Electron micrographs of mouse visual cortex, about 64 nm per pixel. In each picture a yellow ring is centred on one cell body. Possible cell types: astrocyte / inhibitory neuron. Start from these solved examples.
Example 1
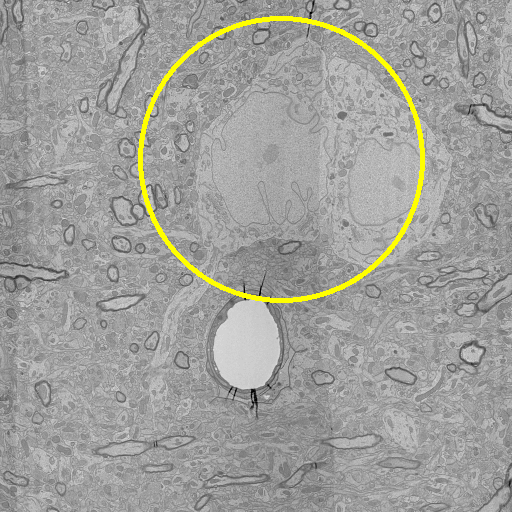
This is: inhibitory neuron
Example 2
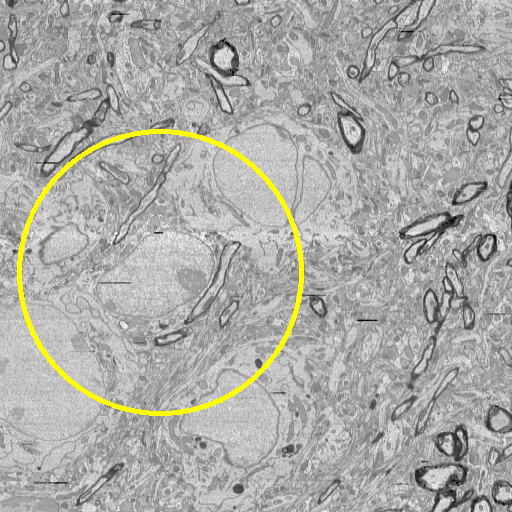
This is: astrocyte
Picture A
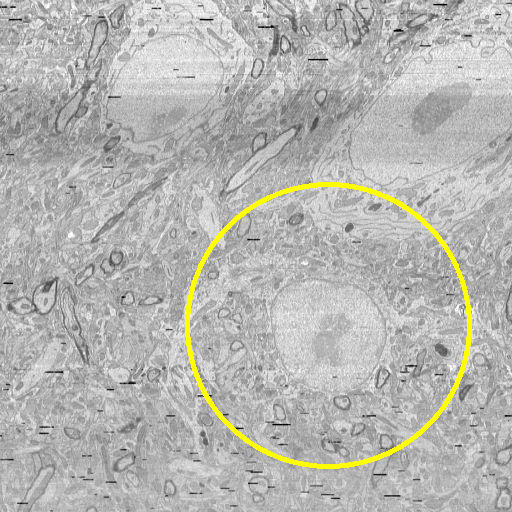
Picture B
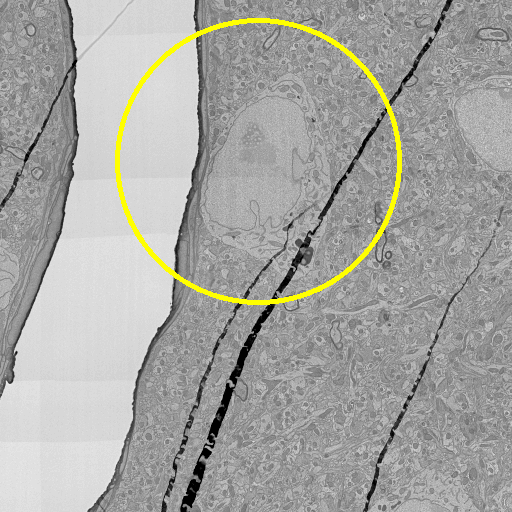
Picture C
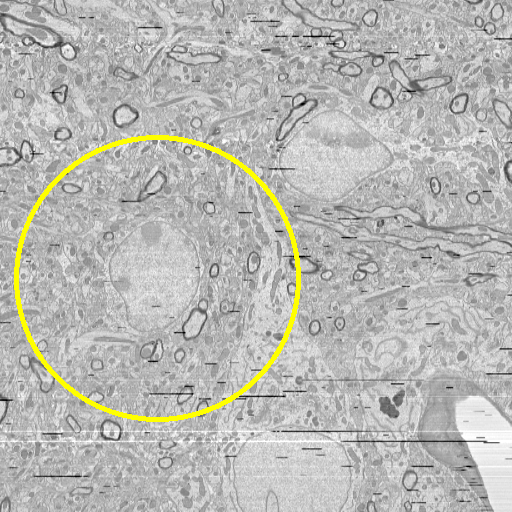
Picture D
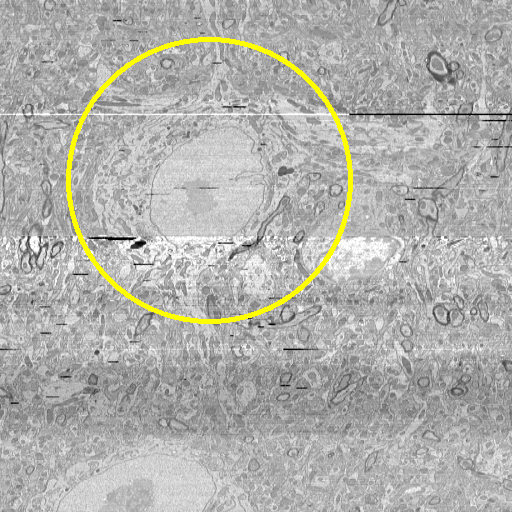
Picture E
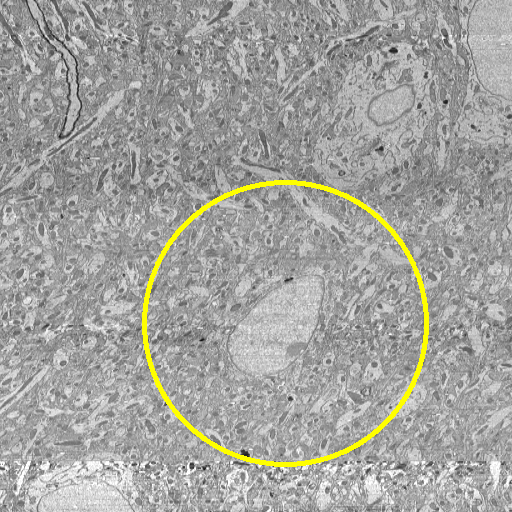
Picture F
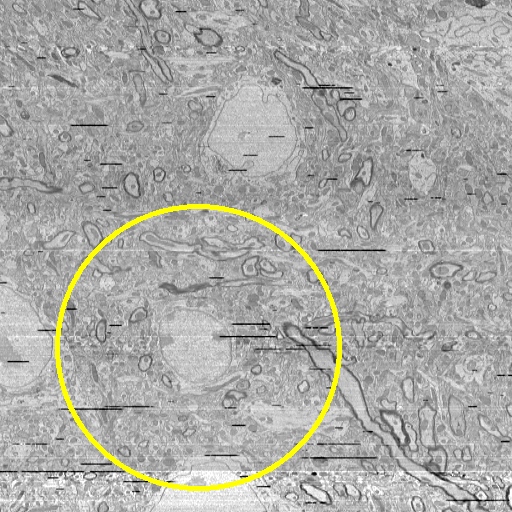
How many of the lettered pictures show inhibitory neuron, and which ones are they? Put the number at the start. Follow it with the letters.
2: B, D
